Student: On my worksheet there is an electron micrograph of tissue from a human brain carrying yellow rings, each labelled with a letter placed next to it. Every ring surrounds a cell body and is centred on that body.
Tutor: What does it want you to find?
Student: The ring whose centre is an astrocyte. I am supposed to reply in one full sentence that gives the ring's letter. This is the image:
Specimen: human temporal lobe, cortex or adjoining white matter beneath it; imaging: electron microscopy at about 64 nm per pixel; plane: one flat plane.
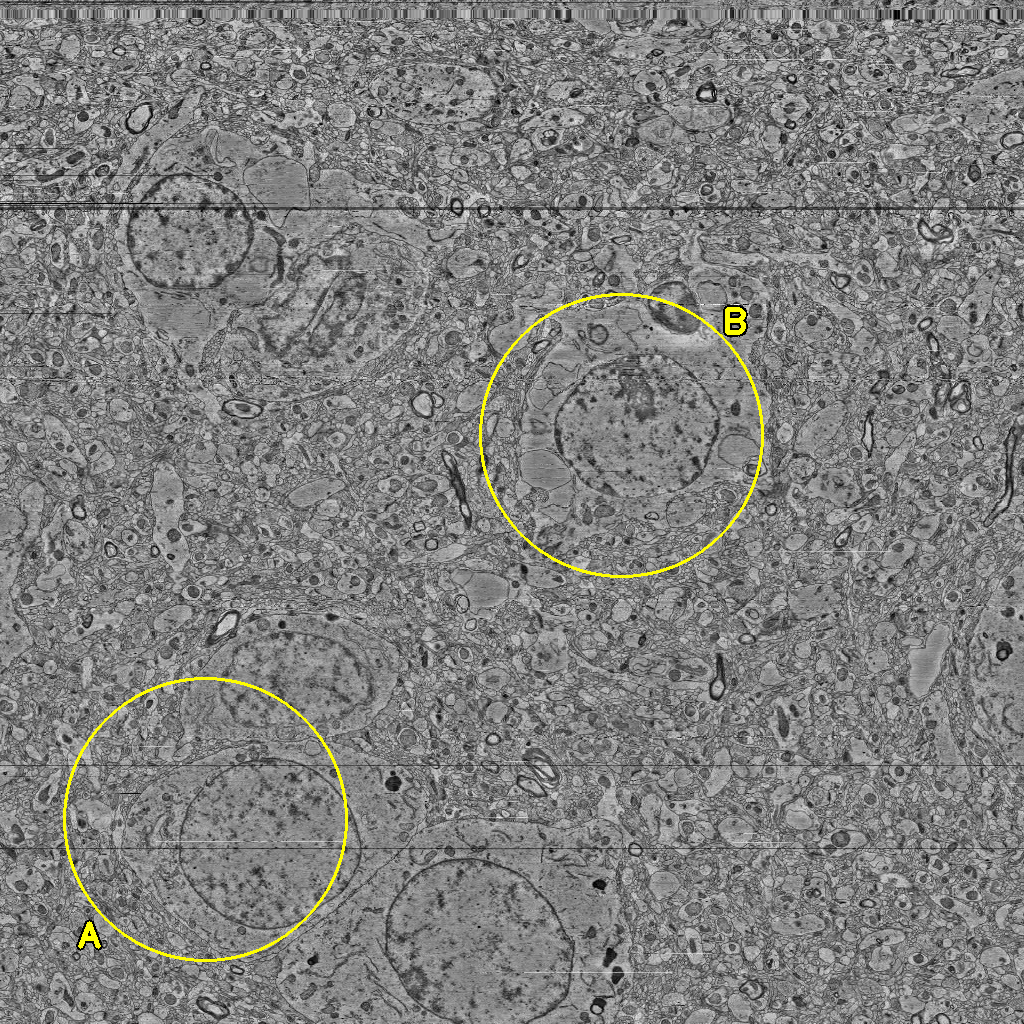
The cell asked for, shown in the picture, lies at the centre of ring B.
